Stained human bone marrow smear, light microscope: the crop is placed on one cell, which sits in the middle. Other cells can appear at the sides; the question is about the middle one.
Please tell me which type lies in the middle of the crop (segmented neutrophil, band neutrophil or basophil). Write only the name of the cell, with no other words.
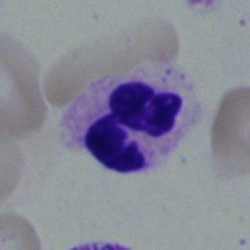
segmented neutrophil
